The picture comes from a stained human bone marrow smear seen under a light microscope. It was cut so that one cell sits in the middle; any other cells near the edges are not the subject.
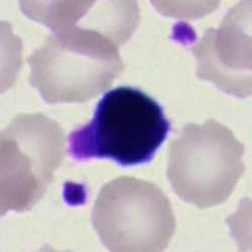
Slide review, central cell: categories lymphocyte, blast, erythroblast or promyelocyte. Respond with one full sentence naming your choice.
This crop has a lymphocyte at its centre.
